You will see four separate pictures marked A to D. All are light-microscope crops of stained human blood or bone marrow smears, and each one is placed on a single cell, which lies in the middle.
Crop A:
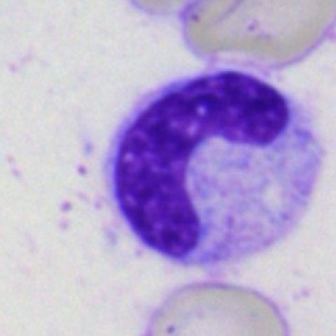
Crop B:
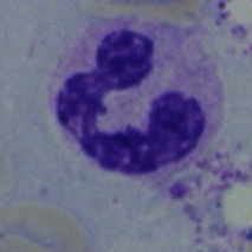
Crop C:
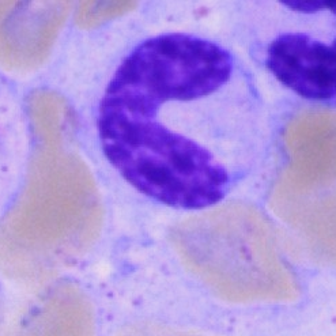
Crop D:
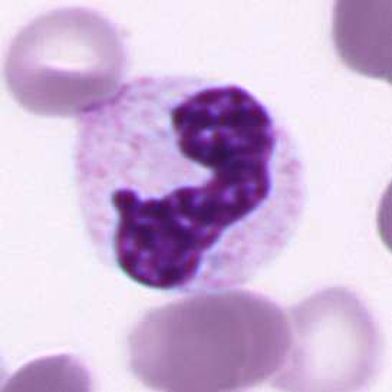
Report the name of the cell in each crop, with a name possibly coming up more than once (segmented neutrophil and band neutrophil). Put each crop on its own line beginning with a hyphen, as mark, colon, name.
- A: band neutrophil
- B: segmented neutrophil
- C: band neutrophil
- D: segmented neutrophil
